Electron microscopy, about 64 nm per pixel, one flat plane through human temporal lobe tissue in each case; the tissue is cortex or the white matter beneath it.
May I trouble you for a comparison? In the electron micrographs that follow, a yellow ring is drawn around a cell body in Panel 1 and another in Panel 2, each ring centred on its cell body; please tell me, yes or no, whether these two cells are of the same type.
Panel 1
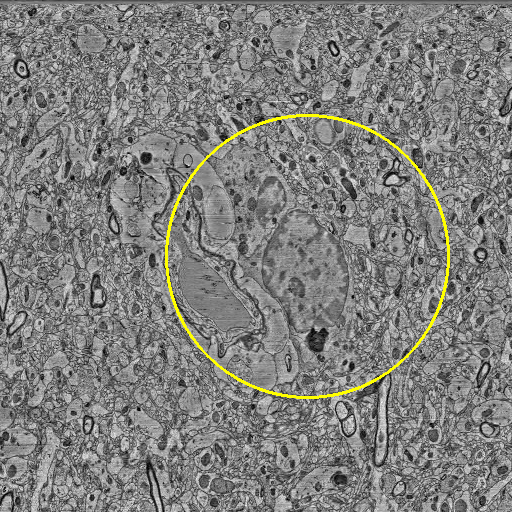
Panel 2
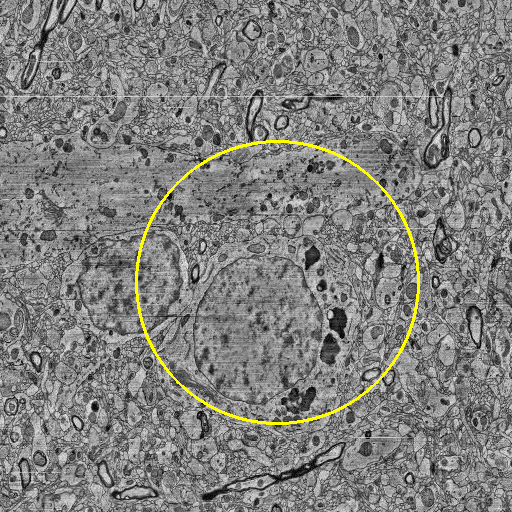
no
